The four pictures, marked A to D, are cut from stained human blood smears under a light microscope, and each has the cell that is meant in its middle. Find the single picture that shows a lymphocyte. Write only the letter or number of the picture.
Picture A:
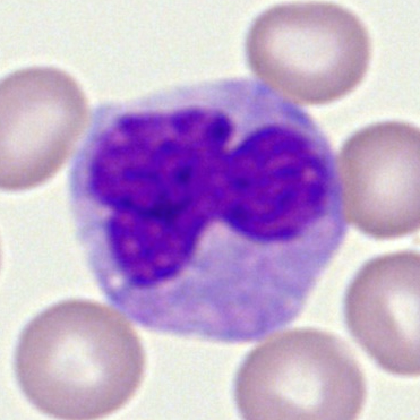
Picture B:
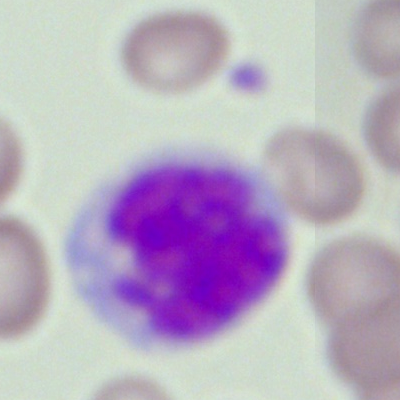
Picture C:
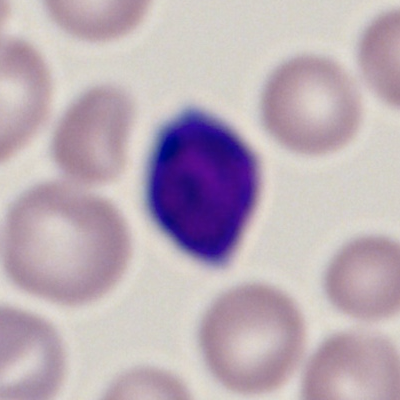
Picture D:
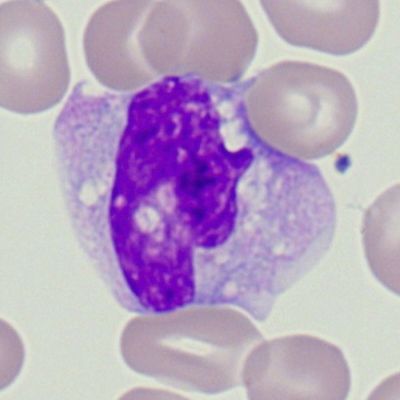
C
